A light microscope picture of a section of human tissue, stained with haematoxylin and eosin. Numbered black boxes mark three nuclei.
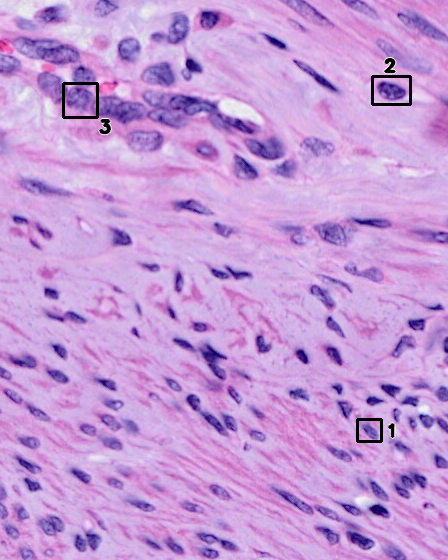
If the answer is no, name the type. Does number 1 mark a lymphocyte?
No, it is a smooth muscle cell.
